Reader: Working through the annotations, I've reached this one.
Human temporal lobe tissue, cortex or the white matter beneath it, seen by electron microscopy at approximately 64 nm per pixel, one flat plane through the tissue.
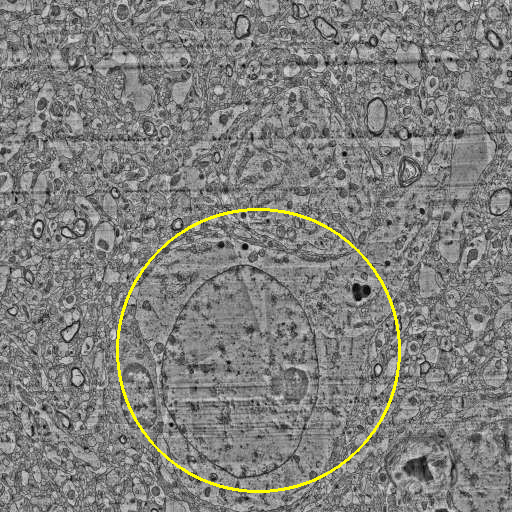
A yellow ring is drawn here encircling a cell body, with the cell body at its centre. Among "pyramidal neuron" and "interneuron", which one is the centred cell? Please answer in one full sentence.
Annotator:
The cell body at the centre of the yellow ring in this image belongs to a pyramidal neuron.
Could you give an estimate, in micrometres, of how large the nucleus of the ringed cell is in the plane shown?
The nucleus measures about 13 by 10 micrometres in this plane.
